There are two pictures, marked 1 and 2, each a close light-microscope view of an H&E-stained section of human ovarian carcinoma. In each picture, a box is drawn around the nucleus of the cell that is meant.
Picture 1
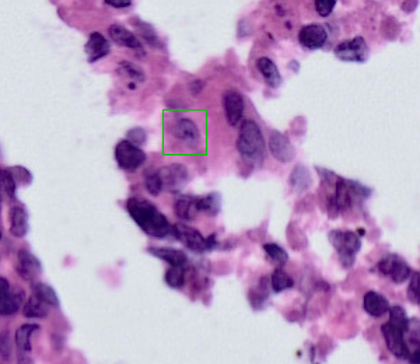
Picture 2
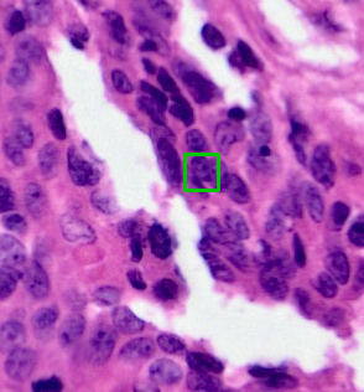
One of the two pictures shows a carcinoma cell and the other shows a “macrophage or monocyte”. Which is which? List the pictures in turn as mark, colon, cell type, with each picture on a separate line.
1: macrophage or monocyte
2: carcinoma cell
